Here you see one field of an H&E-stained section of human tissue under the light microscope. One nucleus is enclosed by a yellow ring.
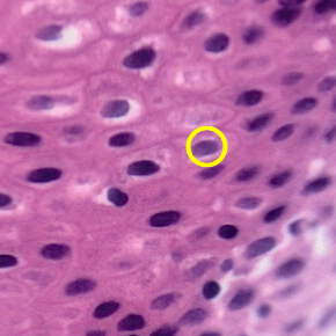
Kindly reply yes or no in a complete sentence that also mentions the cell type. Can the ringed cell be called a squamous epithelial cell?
Yes, within this tissue section, the ringed cell is a squamous epithelial cell.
